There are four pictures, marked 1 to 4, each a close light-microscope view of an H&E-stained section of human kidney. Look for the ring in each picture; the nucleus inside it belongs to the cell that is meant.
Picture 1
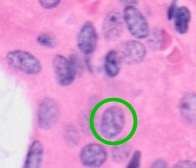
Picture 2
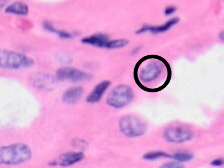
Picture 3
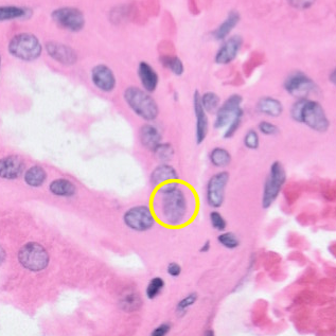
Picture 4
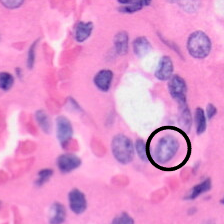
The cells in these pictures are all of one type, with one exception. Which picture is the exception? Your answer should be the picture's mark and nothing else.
2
